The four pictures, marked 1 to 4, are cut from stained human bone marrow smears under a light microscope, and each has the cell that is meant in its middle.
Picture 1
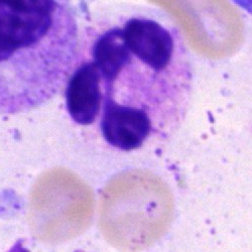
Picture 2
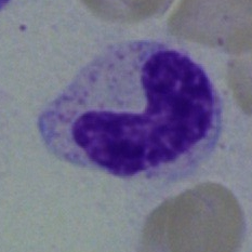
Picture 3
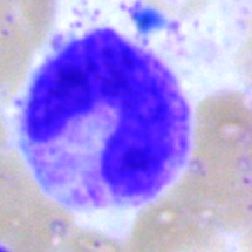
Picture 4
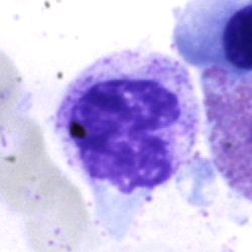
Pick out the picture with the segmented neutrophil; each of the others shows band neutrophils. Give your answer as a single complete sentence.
Picture 1 shows the segmented neutrophil.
